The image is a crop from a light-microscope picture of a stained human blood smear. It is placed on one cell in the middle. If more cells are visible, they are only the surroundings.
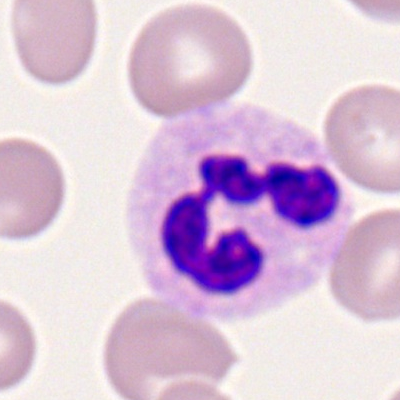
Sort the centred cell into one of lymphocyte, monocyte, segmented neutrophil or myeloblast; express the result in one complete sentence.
In the middle of this smear crop is a segmented neutrophil.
